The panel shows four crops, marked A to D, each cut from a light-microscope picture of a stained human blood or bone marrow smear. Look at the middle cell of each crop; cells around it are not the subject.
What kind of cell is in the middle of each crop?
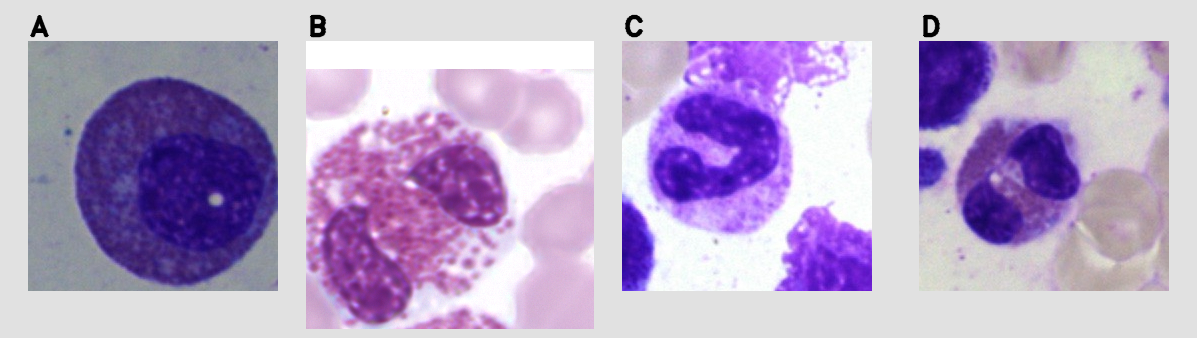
A: eosinophil
B: eosinophil
C: band neutrophil
D: eosinophil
